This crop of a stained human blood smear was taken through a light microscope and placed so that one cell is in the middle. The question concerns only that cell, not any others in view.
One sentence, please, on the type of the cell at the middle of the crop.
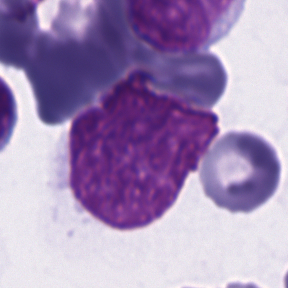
The crop centres on a single cell, and that cell is a smudge cell.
